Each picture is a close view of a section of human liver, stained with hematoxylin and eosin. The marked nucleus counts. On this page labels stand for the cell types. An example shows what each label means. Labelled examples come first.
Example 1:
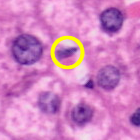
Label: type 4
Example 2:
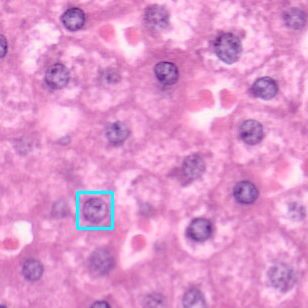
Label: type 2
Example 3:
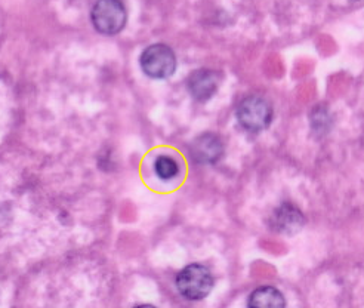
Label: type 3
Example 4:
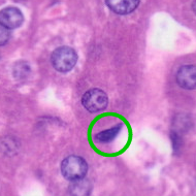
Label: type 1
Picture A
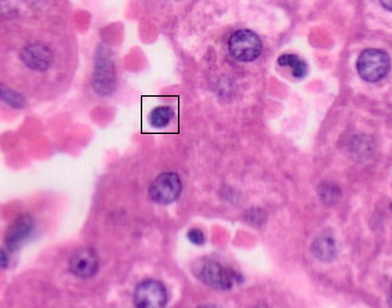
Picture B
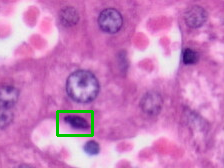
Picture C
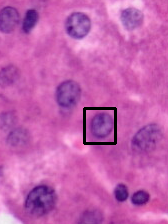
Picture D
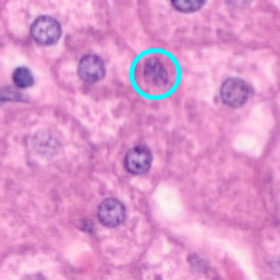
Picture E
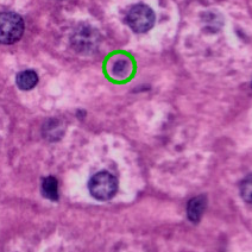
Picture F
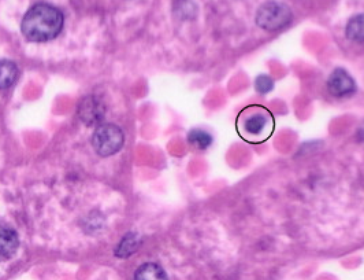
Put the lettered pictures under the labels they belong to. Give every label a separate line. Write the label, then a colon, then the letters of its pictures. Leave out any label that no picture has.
type 2: C
type 3: A, E, F
type 1: B, D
